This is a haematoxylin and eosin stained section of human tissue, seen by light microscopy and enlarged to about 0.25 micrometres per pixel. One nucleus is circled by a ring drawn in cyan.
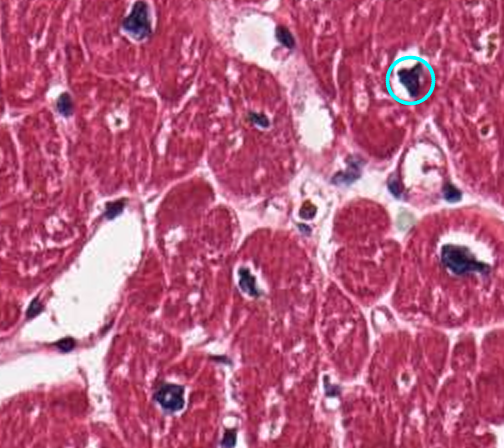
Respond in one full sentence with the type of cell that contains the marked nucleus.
The mark in this picture falls on the nucleus of a cardiomyocyte.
